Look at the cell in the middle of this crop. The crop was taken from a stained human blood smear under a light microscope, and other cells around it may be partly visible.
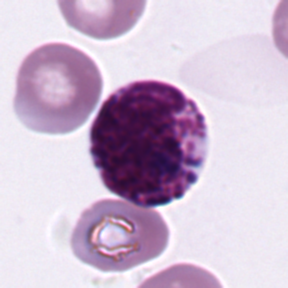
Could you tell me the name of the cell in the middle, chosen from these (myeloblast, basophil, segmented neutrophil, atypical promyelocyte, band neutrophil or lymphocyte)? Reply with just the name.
basophil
